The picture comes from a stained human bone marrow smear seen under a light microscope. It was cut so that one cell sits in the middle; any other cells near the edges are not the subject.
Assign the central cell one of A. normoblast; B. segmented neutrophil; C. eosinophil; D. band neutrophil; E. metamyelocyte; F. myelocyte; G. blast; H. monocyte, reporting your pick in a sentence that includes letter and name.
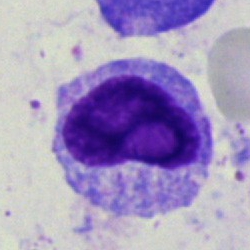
The correct choice is option F, which identifies the middle cell as a myelocyte.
